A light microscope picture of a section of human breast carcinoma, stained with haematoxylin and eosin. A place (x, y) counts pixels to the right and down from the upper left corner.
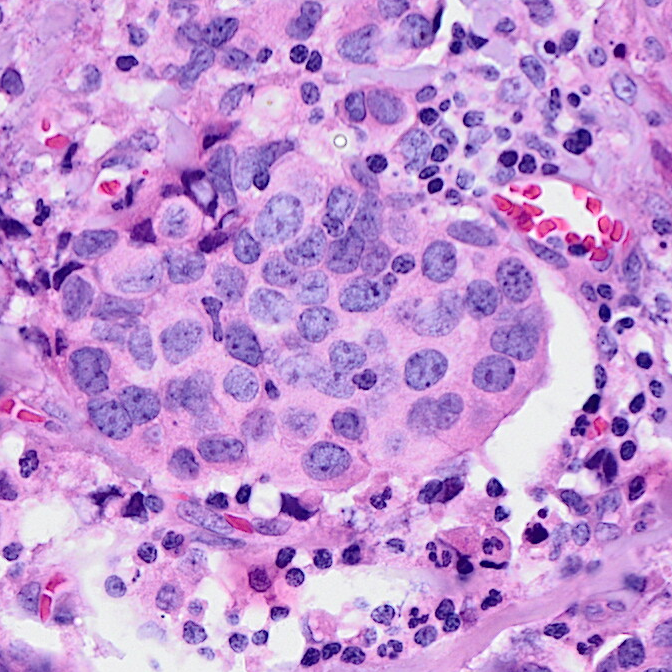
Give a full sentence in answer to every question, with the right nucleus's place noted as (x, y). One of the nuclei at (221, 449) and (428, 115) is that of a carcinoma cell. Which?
The nucleus of a carcinoma cell lies at (221, 449), not at the other position.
